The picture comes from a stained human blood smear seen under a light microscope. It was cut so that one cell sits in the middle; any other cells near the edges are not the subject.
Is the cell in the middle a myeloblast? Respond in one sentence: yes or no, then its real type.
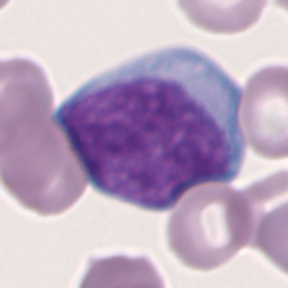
Yes, the cell right in the middle is a myeloblast.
